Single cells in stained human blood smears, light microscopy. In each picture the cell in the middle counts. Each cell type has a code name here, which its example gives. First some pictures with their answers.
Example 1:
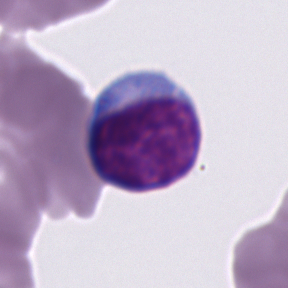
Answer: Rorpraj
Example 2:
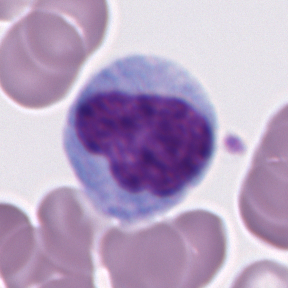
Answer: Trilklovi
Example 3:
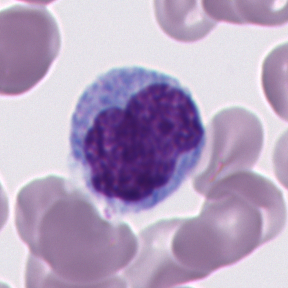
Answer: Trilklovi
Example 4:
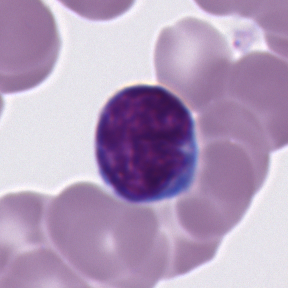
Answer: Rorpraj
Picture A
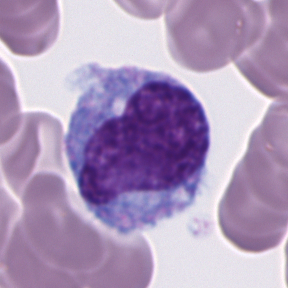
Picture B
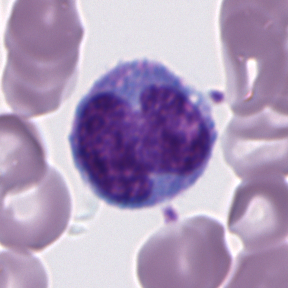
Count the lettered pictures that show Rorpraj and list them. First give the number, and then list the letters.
0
